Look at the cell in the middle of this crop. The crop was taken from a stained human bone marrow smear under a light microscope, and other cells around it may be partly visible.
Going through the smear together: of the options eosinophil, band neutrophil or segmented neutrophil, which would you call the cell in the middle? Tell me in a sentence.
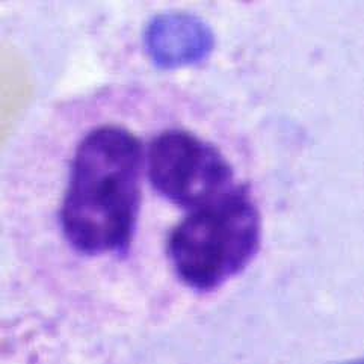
In the crop, the cell of interest at the centre is a segmented neutrophil.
